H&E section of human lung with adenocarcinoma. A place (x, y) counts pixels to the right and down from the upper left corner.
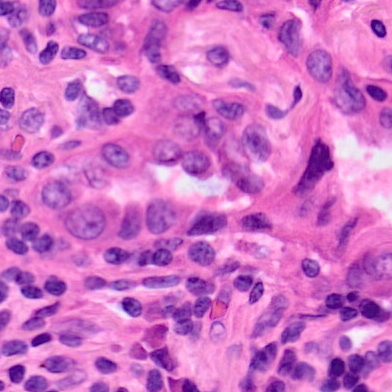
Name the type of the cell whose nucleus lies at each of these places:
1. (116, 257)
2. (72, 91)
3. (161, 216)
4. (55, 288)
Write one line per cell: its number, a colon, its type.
1: lymphocyte
2: lymphocyte
3: carcinoma cell
4: lymphocyte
